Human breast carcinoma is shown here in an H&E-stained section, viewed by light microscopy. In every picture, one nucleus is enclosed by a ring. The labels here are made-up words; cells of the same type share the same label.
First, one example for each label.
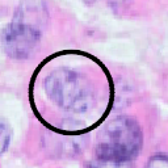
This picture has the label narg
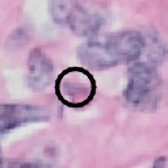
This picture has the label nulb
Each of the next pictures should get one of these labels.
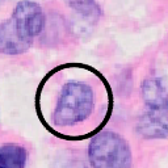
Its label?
narg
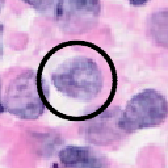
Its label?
narg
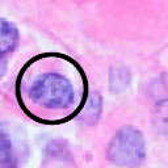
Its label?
narg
